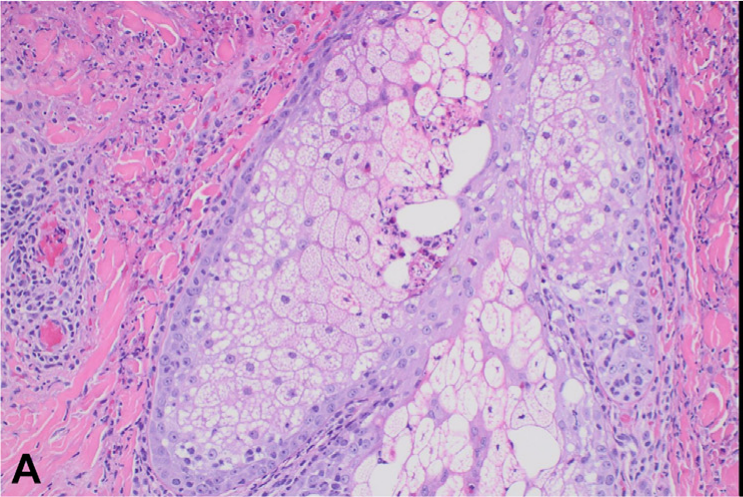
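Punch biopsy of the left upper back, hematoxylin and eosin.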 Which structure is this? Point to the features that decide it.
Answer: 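Lobules of large pale cells with finely bubbly, vacuolated cytoplasm and central nuclei. The lobules are rimmed by a layer of small basophilic cells. A stratified epithelial wall borders the lobules. So: pilosebaceous unit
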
